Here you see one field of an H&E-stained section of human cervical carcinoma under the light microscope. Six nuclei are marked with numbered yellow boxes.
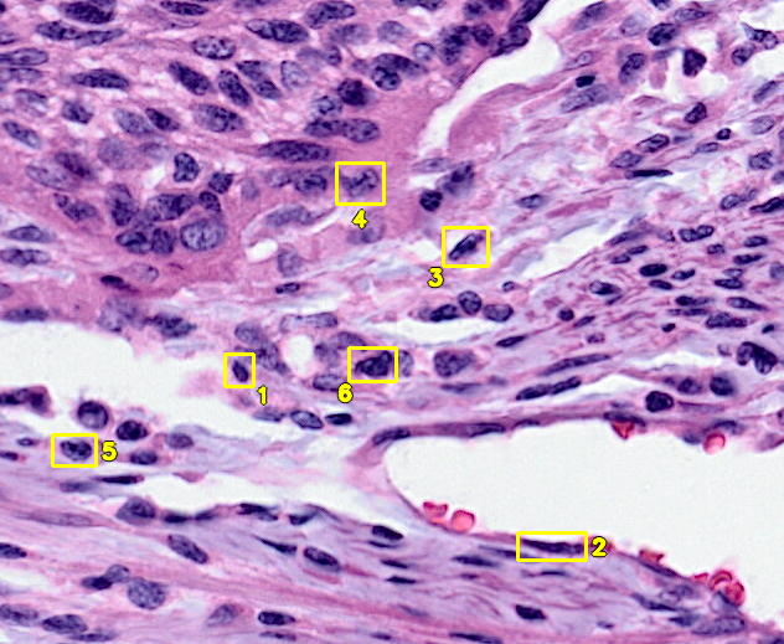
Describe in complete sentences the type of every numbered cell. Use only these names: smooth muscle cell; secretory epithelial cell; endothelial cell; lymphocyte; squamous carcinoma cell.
Cell 1 is a lymphocyte, cell 2 is an endothelial cell, cell 3 is a lymphocyte, cell 4 is a squamous carcinoma cell, cell 5 is a lymphocyte and cell 6 is a lymphocyte.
